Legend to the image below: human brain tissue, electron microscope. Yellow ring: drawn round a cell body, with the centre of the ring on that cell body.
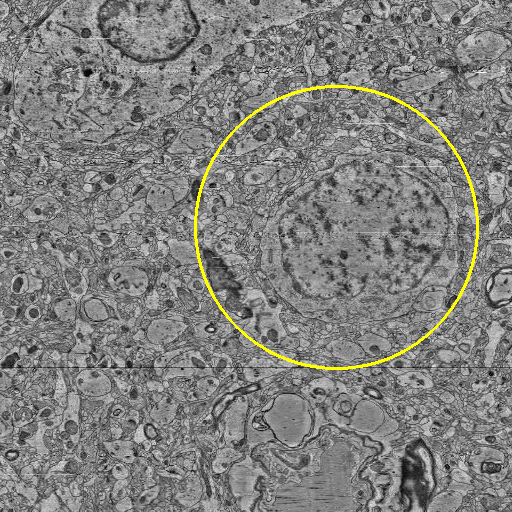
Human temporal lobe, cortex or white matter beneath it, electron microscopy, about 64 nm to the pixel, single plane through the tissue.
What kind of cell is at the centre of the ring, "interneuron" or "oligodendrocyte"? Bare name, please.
interneuron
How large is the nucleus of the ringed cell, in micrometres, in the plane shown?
The nucleus of the ringed cell is approximately 11 by 9 micrometres in this plane.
